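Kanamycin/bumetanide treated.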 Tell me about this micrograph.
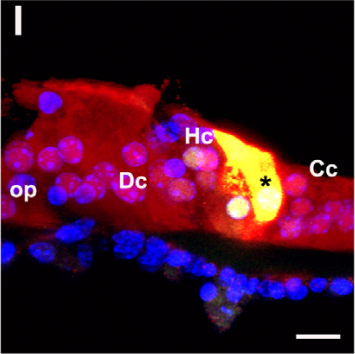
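This slice of the organ of Corti shows supporting cells densely filled with red label across much of the epithelium. A tall pillar-like region lies on the left, and the labelled cells extend laterally toward the outer edge. No row of separate hair cells is visible above the supporting cells.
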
